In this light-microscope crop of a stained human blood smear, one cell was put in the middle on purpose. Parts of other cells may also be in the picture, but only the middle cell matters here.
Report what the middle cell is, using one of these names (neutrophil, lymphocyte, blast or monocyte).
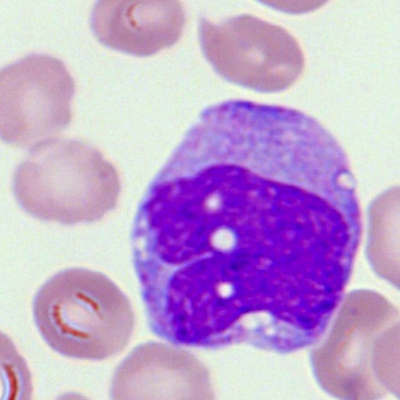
monocyte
